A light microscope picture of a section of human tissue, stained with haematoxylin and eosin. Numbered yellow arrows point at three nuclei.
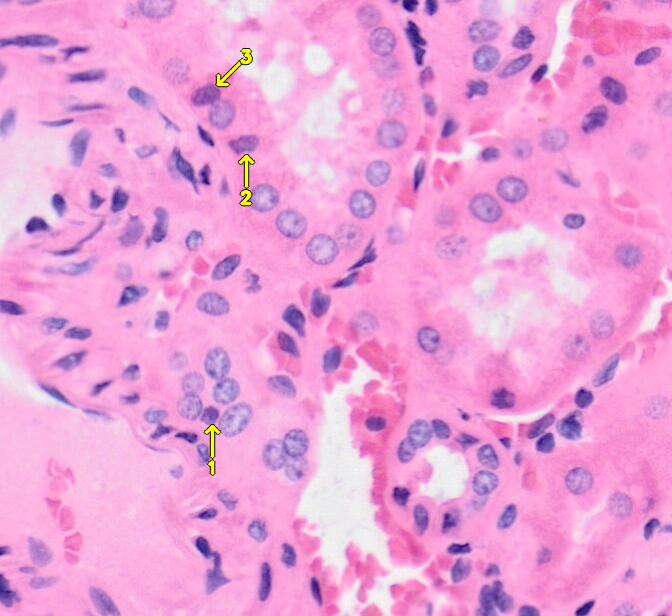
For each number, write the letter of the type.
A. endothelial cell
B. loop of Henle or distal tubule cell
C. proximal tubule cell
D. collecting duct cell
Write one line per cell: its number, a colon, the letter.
1: D
2: C
3: C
